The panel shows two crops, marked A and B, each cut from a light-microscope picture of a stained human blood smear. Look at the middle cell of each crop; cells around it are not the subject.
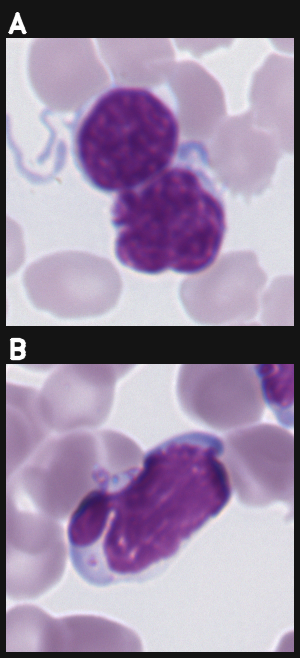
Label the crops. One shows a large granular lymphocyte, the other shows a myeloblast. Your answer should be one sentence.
Crop A is identified as a myeloblast, and crop B is identified as a large granular lymphocyte.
